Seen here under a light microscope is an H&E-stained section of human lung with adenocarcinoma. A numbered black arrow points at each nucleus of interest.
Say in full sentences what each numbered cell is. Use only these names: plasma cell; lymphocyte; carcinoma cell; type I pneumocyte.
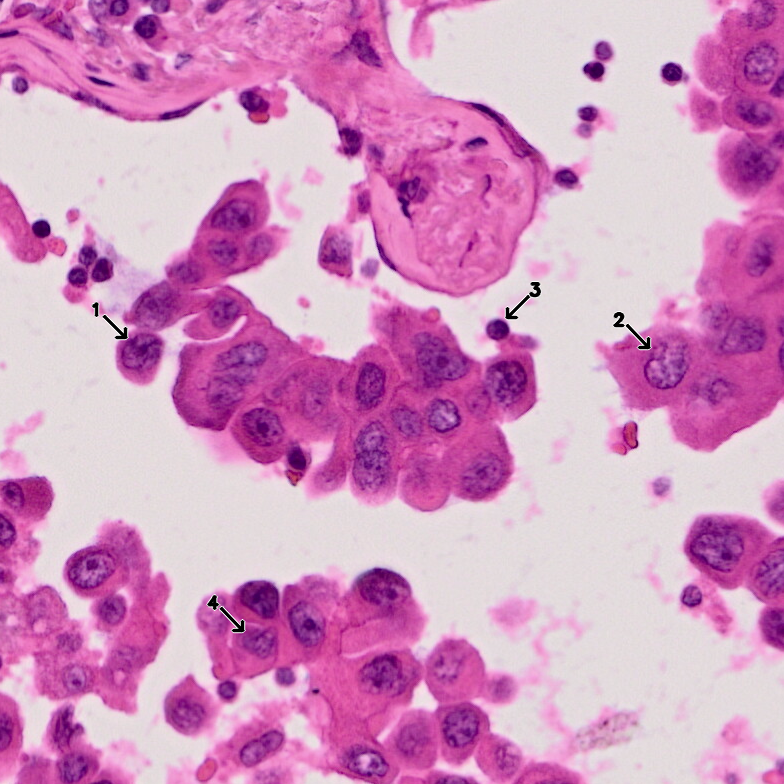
Cell 1 is a carcinoma cell, cell 2 is a carcinoma cell, cell 3 is a lymphocyte and cell 4 is a carcinoma cell.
